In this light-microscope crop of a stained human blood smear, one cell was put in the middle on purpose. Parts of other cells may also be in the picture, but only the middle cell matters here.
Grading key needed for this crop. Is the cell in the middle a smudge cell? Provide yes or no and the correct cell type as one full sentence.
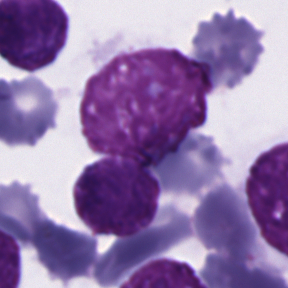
No, the central cell is properly termed a myeloblast, not a smudge cell.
